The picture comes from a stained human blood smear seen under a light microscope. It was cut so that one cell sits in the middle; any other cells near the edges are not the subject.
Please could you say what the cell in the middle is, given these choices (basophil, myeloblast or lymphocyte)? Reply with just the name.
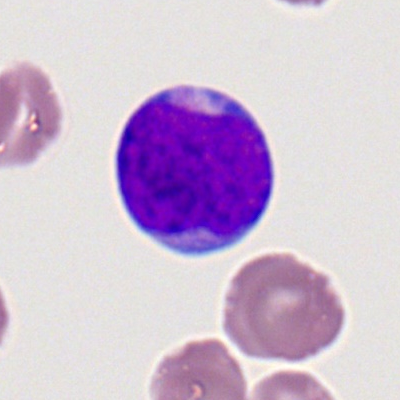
myeloblast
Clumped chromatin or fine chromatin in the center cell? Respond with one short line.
The nucleus shows chromatin that is coarsely clumped.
